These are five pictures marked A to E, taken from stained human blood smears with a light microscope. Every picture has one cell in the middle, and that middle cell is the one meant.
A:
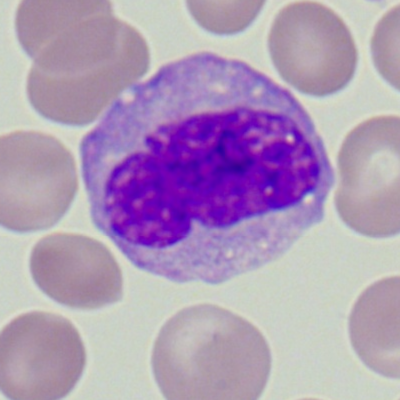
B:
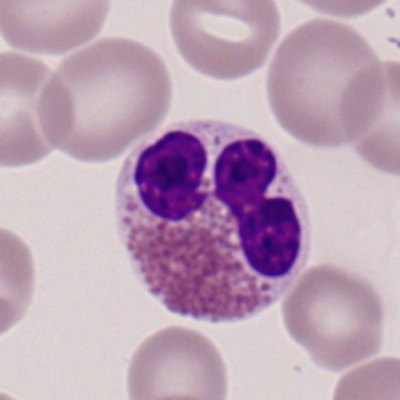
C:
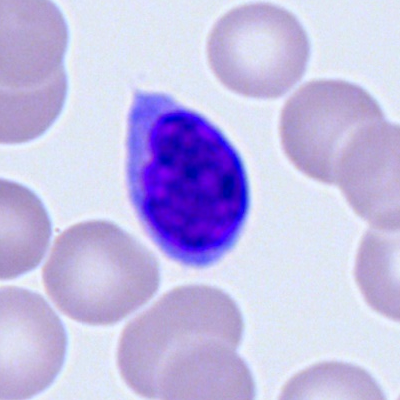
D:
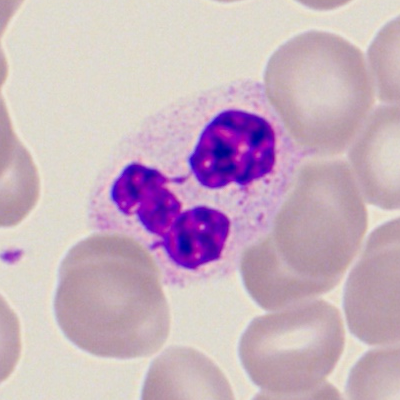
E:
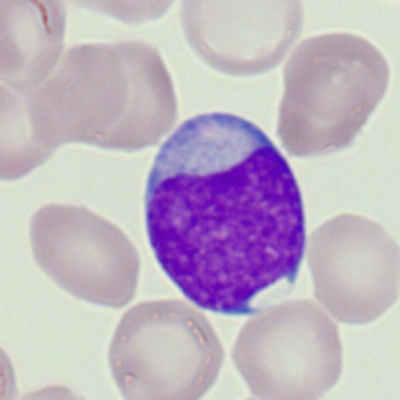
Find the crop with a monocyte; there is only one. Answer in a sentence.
Here the crop that shows a monocyte is crop A.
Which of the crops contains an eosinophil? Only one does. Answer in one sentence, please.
Crop B is the crop that displays an eosinophil.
